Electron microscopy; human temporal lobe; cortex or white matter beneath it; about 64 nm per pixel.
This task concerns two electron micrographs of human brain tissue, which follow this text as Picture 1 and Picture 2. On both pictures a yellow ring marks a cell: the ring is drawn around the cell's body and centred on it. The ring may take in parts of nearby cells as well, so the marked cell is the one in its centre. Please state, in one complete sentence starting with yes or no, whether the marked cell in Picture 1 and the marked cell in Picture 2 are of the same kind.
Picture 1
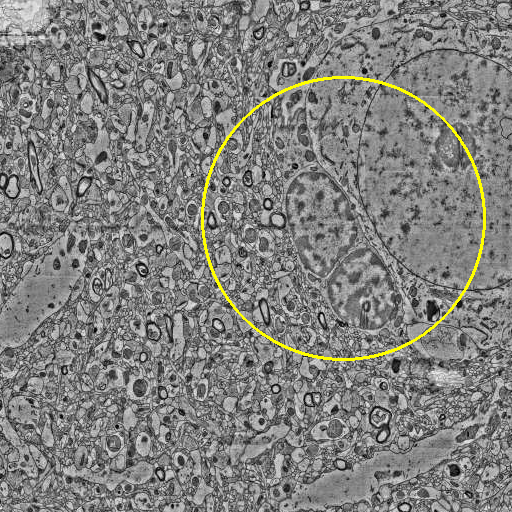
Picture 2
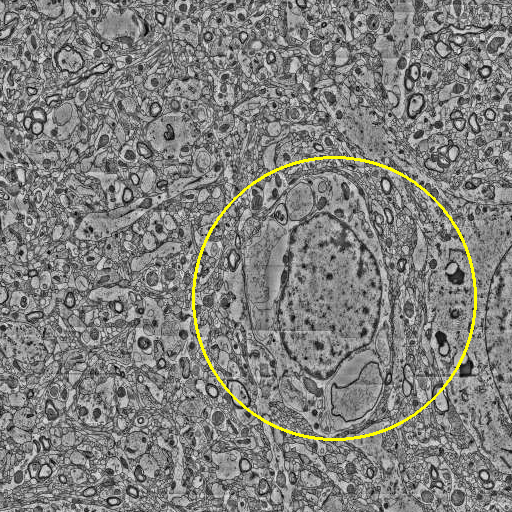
No, the marked cells in the two pictures are of two kinds.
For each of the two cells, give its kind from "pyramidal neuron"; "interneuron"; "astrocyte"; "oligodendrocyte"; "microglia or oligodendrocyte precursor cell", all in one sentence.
The first picture has an oligodendrocyte in its ring, the second has an astrocyte.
